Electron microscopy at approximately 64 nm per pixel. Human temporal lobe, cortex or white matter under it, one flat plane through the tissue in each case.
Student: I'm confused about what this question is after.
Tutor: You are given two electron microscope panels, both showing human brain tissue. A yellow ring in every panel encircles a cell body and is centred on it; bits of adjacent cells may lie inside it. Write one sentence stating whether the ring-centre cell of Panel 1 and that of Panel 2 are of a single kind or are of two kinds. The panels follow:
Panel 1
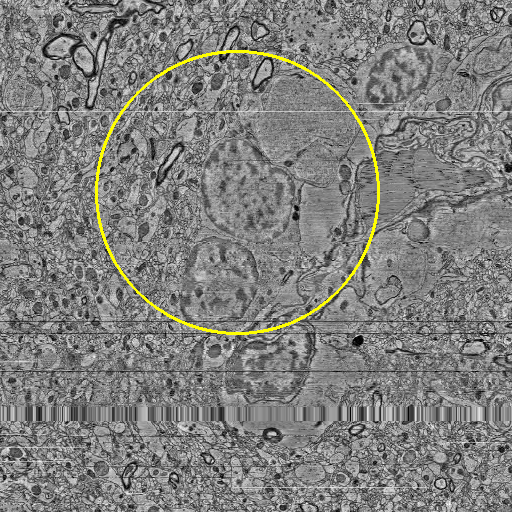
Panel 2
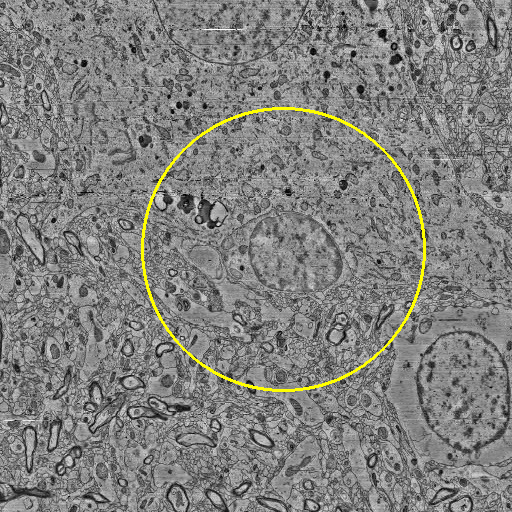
Here, the Panel 1 ring-centre cell and the Panel 2 ring-centre cell are of a single kind.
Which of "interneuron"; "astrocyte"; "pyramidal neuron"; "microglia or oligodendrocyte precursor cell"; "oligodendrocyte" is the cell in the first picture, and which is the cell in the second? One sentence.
Each one of the two ringed cells is an oligodendrocyte.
